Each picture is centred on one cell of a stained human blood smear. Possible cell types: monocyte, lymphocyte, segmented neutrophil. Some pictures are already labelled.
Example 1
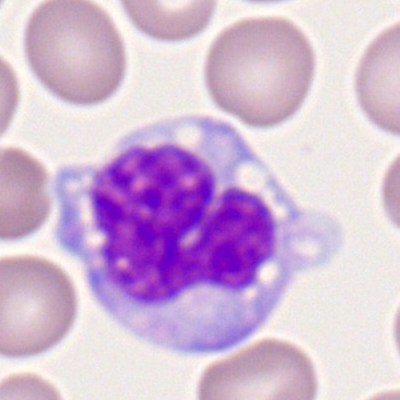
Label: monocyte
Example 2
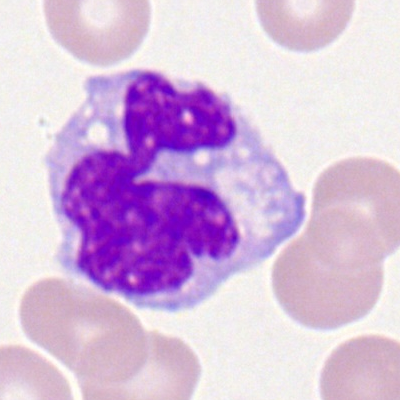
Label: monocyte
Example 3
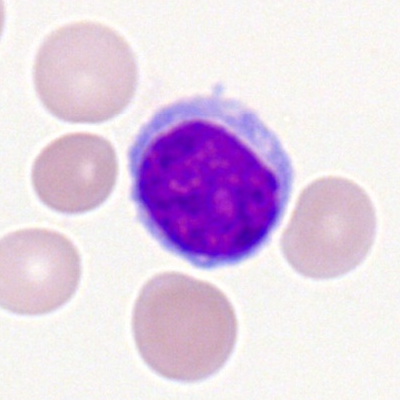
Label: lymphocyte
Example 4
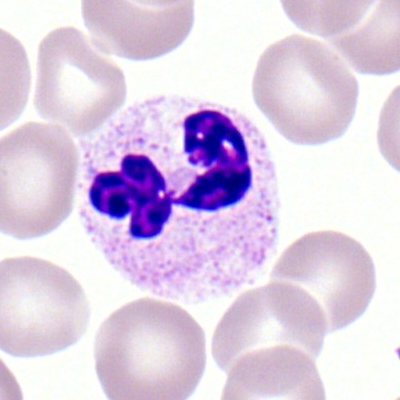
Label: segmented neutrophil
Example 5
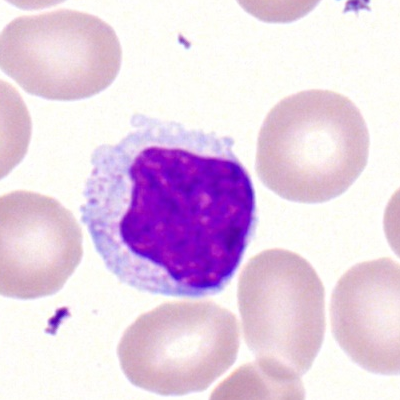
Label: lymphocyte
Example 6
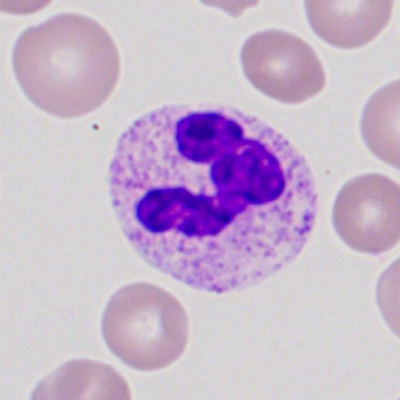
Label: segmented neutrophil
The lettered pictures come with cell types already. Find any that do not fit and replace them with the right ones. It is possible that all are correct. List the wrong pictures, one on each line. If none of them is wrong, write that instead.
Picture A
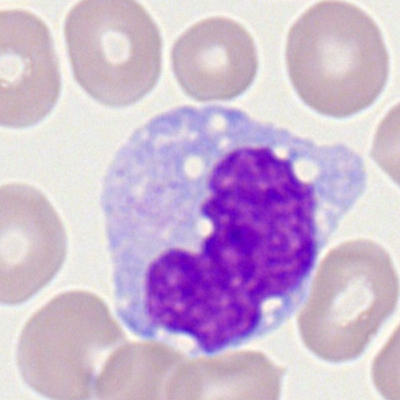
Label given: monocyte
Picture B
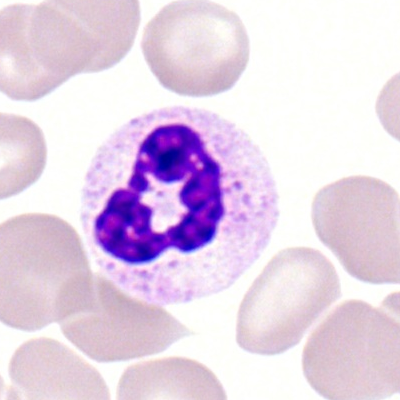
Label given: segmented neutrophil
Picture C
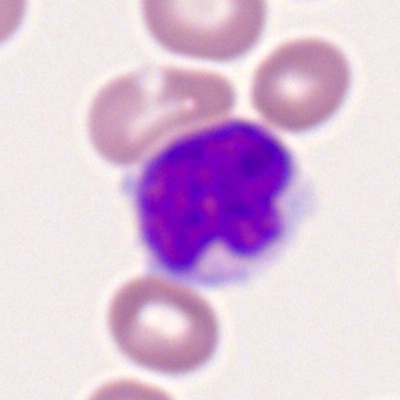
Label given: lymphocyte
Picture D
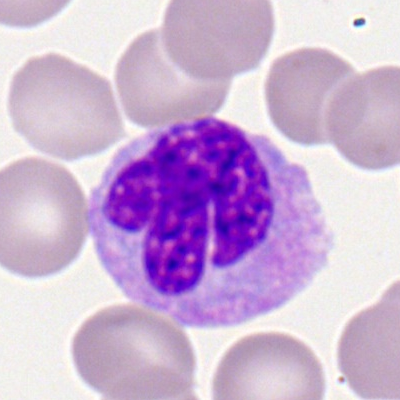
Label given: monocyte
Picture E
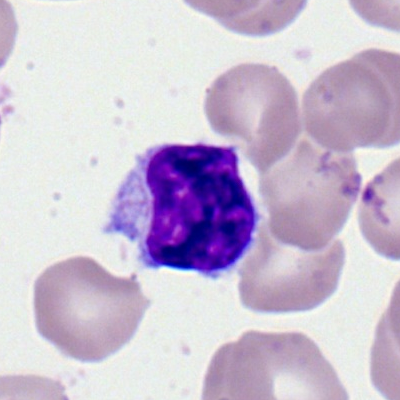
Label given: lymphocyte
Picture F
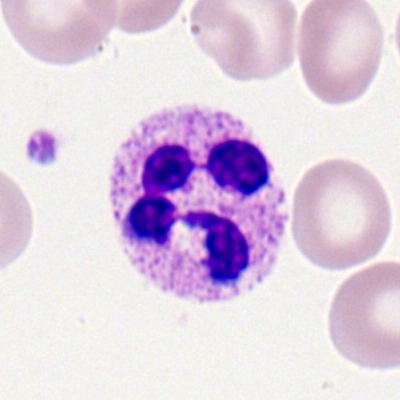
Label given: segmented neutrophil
All correct.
